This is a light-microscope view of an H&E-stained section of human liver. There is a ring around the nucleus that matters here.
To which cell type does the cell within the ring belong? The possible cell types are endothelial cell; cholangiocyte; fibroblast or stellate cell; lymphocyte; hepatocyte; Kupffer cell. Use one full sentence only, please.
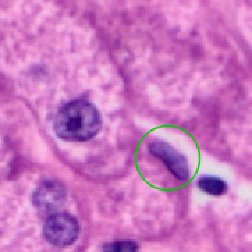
Histopathologically, the cell within the ring is a Kupffer cell.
